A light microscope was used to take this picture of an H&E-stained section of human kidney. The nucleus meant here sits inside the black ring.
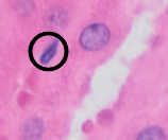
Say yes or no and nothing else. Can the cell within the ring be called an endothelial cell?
yes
